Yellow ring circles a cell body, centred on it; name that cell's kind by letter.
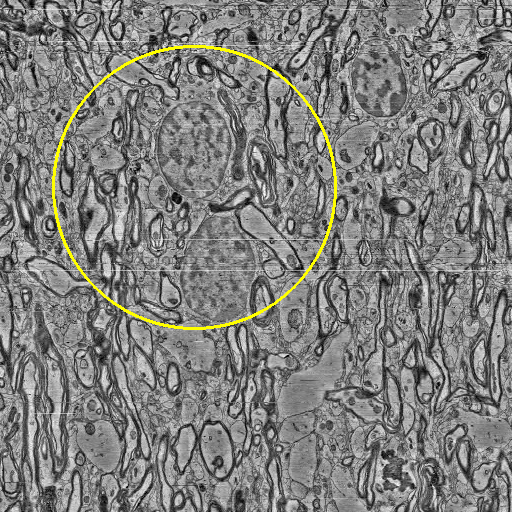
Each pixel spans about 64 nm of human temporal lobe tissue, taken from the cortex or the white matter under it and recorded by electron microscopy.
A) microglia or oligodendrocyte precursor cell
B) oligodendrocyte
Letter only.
B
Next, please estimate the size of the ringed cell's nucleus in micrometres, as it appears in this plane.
Approximately 7 x 5 micrometres in this plane.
